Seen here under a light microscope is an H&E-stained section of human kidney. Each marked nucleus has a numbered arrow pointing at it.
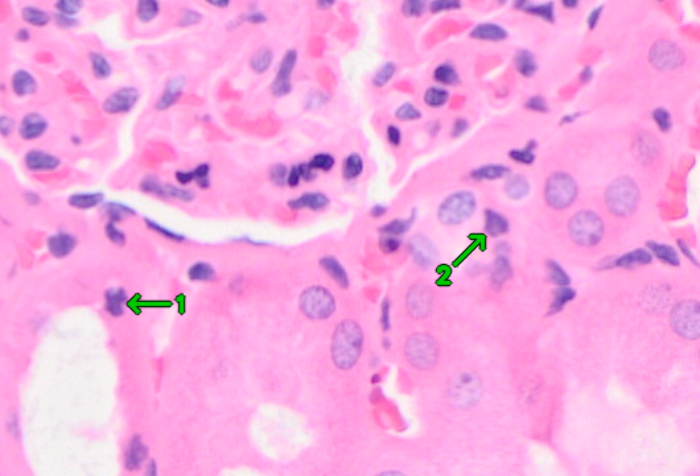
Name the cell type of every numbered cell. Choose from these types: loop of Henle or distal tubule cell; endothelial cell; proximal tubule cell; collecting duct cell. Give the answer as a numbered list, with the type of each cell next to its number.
1. loop of Henle or distal tubule cell
2. collecting duct cell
